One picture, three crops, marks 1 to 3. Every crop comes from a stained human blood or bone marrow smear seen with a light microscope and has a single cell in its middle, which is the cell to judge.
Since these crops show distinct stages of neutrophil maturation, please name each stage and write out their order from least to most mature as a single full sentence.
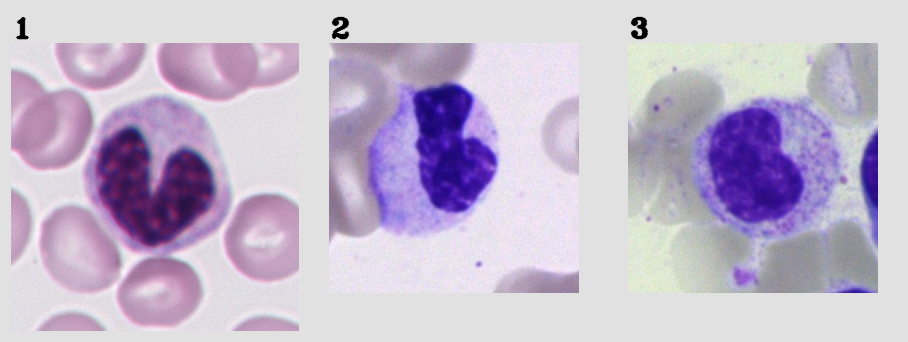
Least to most mature, the crops are crop 3 (a metamyelocyte), crop 1 (a band neutrophil) and crop 2 (a segmented neutrophil).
